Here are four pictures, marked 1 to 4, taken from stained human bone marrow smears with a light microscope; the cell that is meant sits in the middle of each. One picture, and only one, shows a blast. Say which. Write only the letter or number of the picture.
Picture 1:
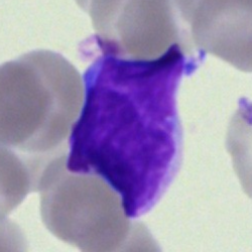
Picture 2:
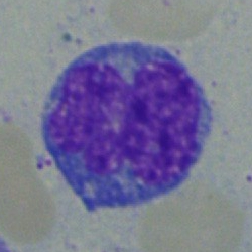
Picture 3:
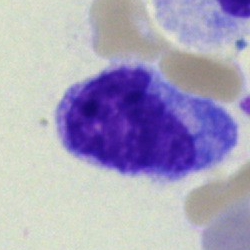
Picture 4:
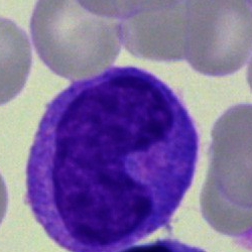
1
